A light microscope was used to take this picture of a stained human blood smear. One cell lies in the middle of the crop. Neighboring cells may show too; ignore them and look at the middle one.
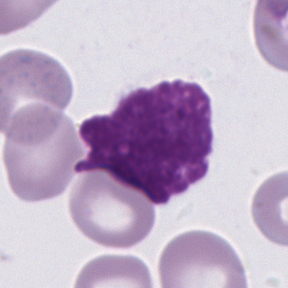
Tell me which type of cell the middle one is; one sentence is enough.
In the center of this field lies a smudge cell.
